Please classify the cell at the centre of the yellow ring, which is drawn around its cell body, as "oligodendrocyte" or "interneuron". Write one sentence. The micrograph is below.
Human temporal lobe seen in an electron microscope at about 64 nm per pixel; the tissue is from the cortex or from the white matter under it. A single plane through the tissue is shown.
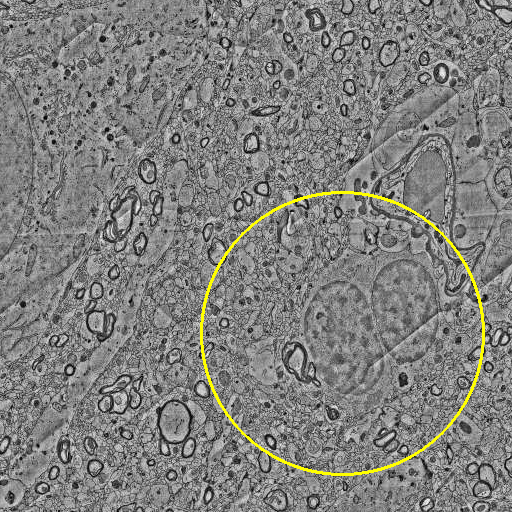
The cell at the ring's centre is classified as an oligodendrocyte.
